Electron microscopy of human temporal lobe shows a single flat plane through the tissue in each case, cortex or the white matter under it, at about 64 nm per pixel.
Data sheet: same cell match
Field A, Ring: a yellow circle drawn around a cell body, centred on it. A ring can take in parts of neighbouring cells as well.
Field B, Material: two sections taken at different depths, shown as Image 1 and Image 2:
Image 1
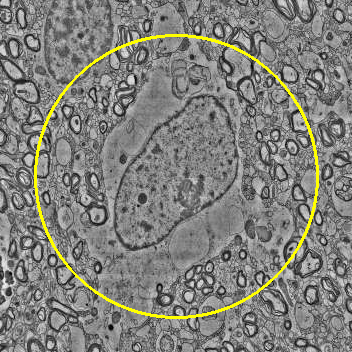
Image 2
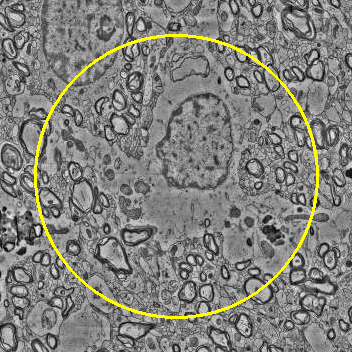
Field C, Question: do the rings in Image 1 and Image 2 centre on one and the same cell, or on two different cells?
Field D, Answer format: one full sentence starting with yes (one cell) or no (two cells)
Yes, the first and second rings frame the same single cell.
